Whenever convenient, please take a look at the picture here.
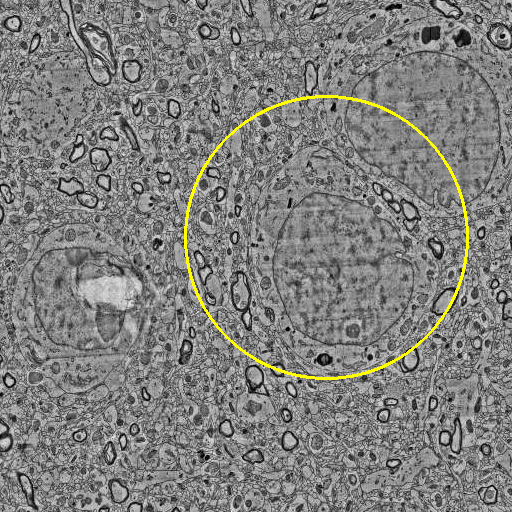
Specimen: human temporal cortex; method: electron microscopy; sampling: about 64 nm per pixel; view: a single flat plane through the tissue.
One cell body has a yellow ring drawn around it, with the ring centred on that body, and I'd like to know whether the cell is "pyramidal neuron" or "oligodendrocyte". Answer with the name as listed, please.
pyramidal neuron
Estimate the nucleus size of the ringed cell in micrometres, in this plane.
The nucleus measures about 10 by 9 micrometres in this plane.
